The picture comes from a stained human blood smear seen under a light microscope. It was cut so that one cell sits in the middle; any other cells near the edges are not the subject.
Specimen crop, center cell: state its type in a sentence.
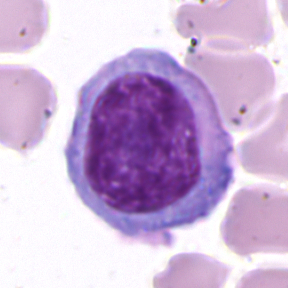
Regarding the central cell, it is a plasma cell.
